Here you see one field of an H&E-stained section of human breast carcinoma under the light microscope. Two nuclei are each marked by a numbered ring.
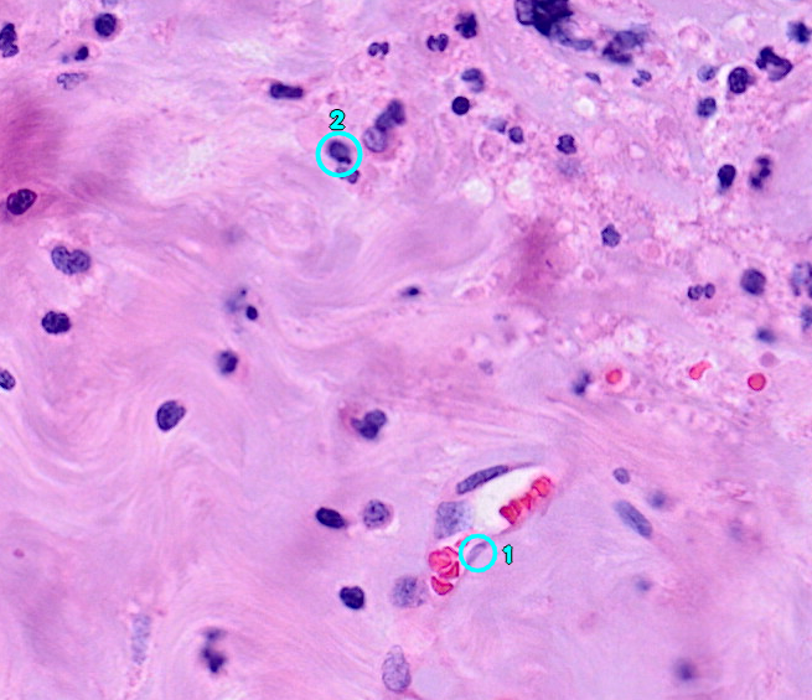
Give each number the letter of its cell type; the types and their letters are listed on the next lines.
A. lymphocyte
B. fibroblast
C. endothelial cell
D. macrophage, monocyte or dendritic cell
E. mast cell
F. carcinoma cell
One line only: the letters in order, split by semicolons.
C; A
